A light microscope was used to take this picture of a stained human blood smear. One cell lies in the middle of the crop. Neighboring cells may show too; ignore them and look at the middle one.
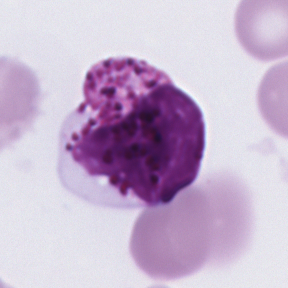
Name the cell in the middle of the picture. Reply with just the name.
basophil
